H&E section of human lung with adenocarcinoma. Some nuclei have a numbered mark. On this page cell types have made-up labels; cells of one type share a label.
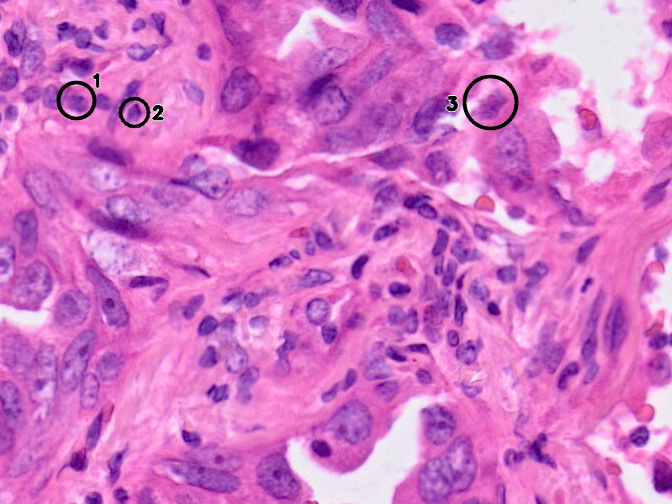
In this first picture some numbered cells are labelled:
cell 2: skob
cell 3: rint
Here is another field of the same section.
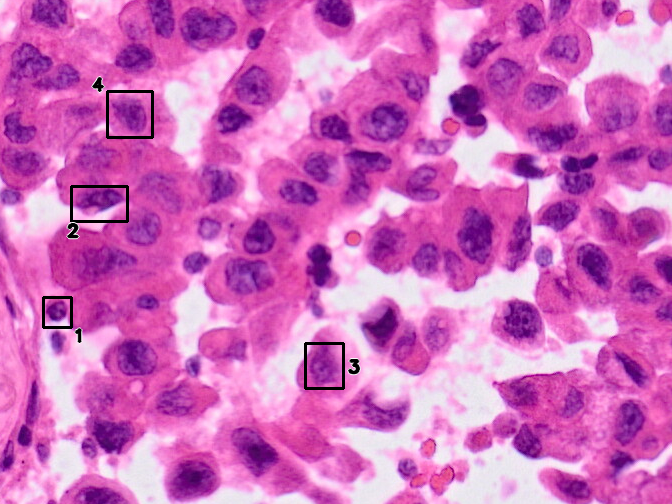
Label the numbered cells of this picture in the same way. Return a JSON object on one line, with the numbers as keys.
{"1": "skob", "2": "rint", "3": "rint", "4": "rint"}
